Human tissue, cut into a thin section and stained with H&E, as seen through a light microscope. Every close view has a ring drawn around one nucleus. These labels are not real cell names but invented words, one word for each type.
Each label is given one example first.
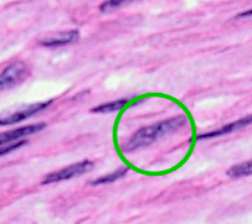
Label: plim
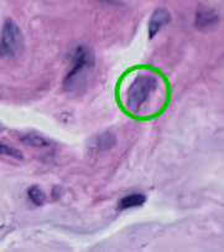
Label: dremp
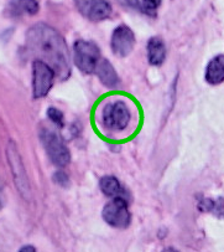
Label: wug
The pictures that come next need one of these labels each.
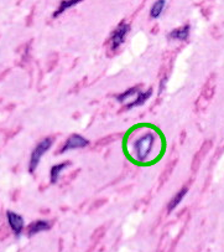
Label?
plim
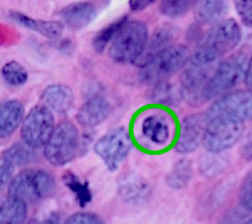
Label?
wug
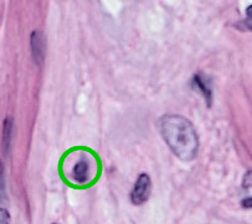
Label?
wug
